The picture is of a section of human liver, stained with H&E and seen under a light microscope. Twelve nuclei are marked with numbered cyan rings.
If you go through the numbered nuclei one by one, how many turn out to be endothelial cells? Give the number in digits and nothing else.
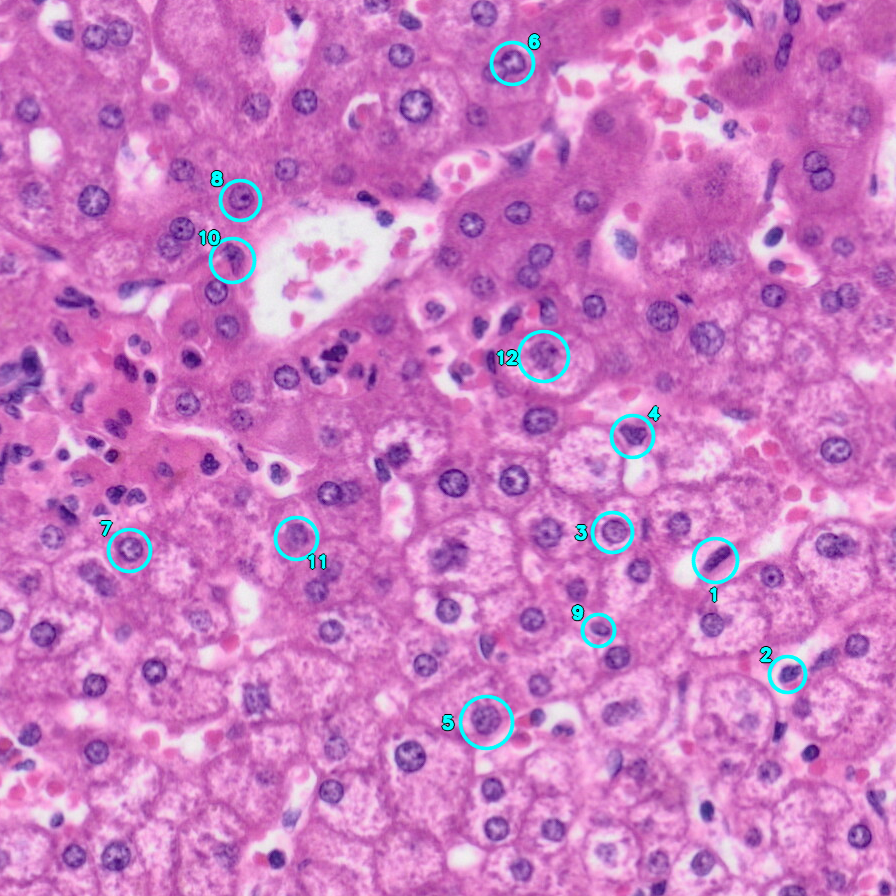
1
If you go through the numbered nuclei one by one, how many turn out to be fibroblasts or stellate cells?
2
